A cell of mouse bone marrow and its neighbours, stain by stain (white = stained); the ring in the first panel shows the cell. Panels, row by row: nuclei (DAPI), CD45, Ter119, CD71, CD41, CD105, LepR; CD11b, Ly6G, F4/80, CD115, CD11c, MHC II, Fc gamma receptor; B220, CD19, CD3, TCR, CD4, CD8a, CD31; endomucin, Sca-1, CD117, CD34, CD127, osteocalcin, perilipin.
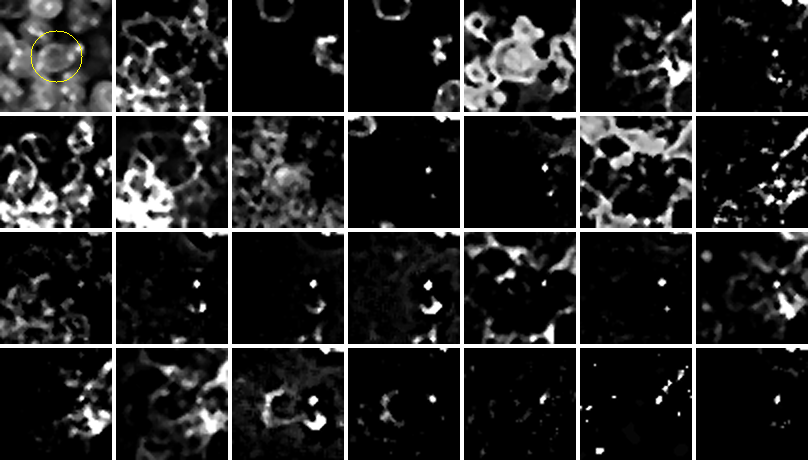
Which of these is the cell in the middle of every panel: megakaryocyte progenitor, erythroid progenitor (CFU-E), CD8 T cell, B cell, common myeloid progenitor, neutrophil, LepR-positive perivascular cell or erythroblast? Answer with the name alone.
megakaryocyte progenitor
